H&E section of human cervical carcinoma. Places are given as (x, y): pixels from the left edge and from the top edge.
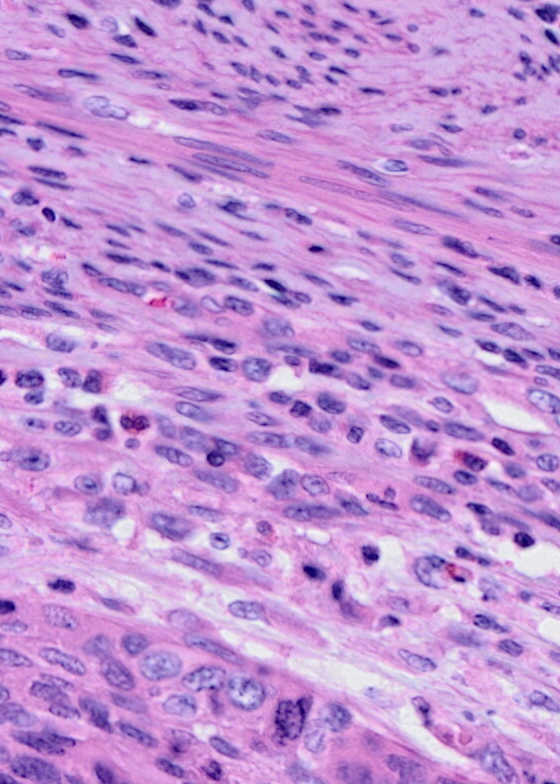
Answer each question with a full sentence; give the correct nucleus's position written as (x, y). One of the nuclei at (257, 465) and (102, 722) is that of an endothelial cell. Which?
The nucleus of an endothelial cell is the one at (257, 465).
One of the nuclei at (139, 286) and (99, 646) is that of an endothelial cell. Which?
Of the two, the nucleus at (139, 286) is the one contained in an endothelial cell.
